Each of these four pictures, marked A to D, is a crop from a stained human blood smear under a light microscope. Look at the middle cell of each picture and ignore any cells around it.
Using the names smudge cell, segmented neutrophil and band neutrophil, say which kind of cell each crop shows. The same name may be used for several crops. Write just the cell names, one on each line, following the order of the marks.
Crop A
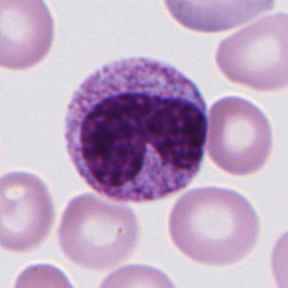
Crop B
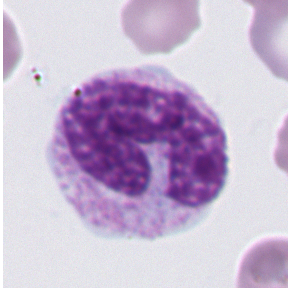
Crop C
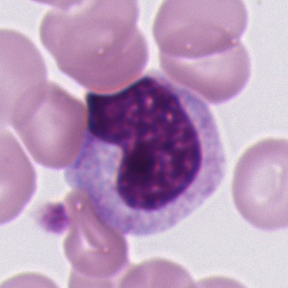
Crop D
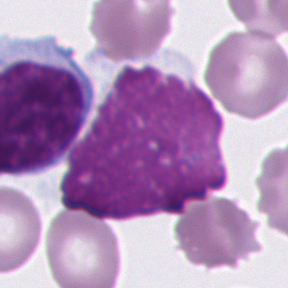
band neutrophil
band neutrophil
band neutrophil
smudge cell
